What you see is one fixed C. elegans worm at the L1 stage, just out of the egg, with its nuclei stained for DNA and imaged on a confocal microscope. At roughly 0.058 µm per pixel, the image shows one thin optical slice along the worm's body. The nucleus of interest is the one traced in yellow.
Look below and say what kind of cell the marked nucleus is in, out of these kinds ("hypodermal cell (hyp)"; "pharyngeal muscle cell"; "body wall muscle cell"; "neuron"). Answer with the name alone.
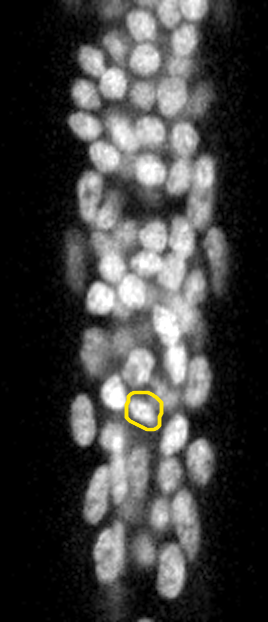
pharyngeal muscle cell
